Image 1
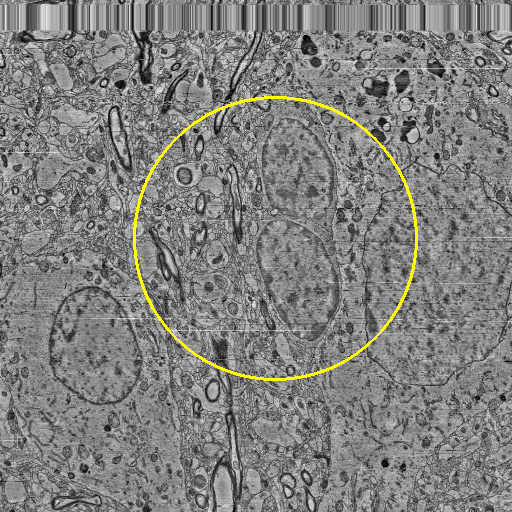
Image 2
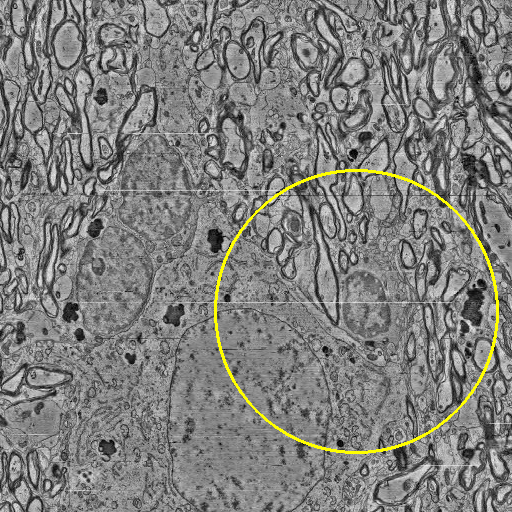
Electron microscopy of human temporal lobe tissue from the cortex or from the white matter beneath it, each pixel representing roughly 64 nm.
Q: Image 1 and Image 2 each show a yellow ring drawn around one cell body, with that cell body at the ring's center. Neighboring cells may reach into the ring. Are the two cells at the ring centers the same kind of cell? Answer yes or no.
yes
